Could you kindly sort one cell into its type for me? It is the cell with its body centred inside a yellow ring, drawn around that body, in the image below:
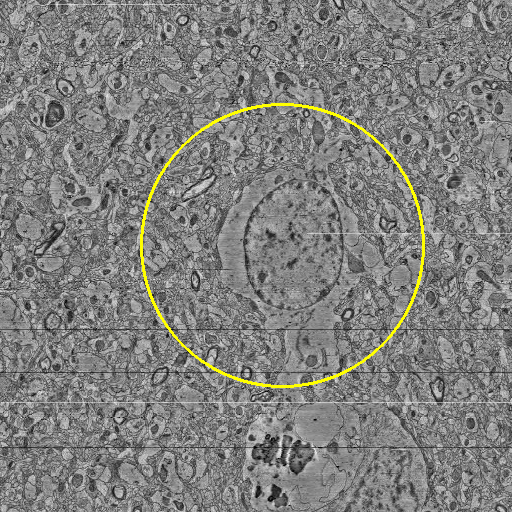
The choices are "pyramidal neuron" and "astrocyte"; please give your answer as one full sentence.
The cell whose body lies centred in the yellow ring here is an astrocyte.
